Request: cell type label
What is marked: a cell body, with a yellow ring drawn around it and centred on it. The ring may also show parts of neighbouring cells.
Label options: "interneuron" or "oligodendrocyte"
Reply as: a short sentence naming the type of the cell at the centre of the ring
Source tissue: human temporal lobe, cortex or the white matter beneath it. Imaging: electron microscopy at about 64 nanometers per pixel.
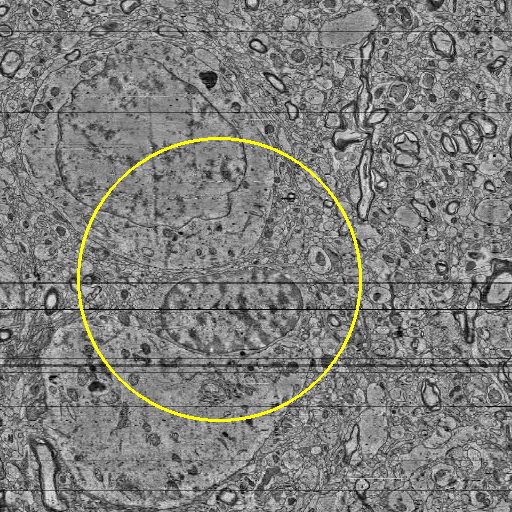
The marked cell body is that of an oligodendrocyte.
